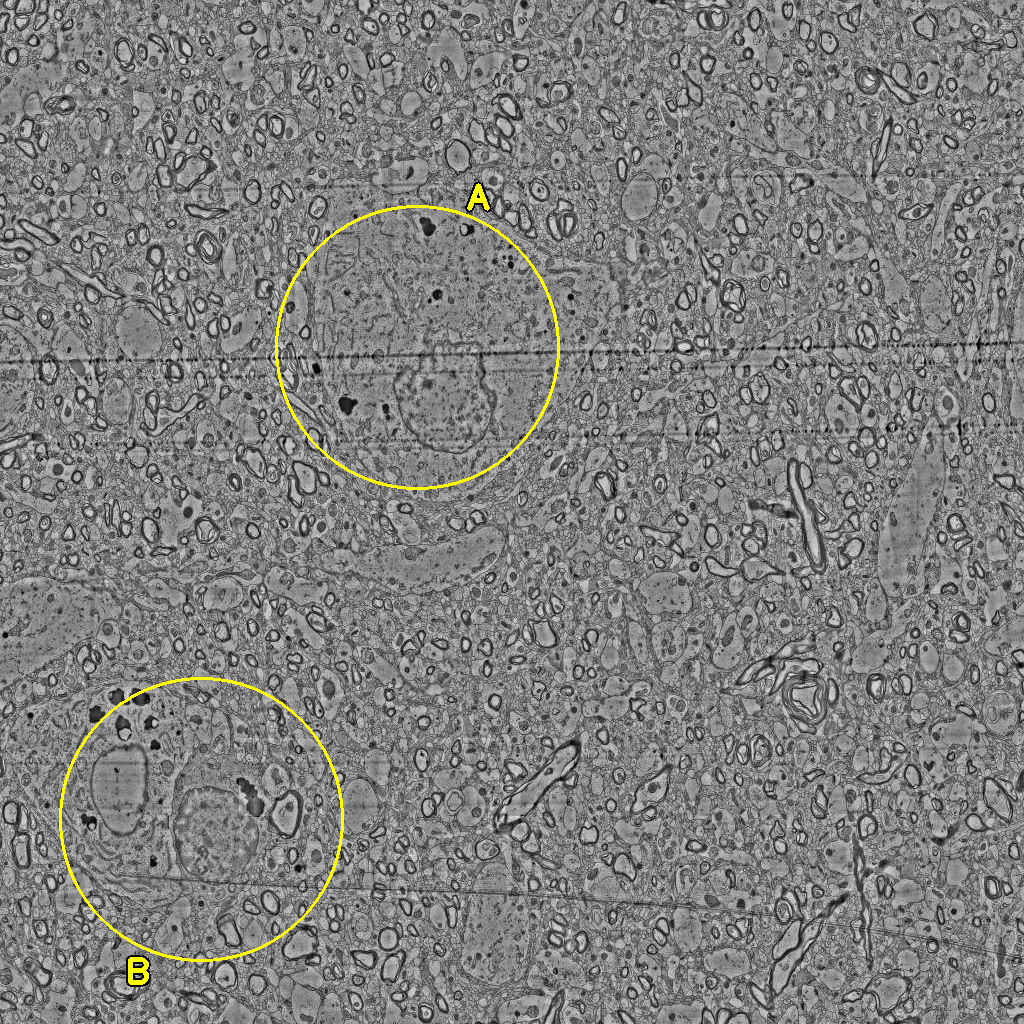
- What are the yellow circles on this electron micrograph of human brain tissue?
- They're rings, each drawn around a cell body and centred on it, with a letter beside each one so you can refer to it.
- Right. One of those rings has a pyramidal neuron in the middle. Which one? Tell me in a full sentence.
It's ring A.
